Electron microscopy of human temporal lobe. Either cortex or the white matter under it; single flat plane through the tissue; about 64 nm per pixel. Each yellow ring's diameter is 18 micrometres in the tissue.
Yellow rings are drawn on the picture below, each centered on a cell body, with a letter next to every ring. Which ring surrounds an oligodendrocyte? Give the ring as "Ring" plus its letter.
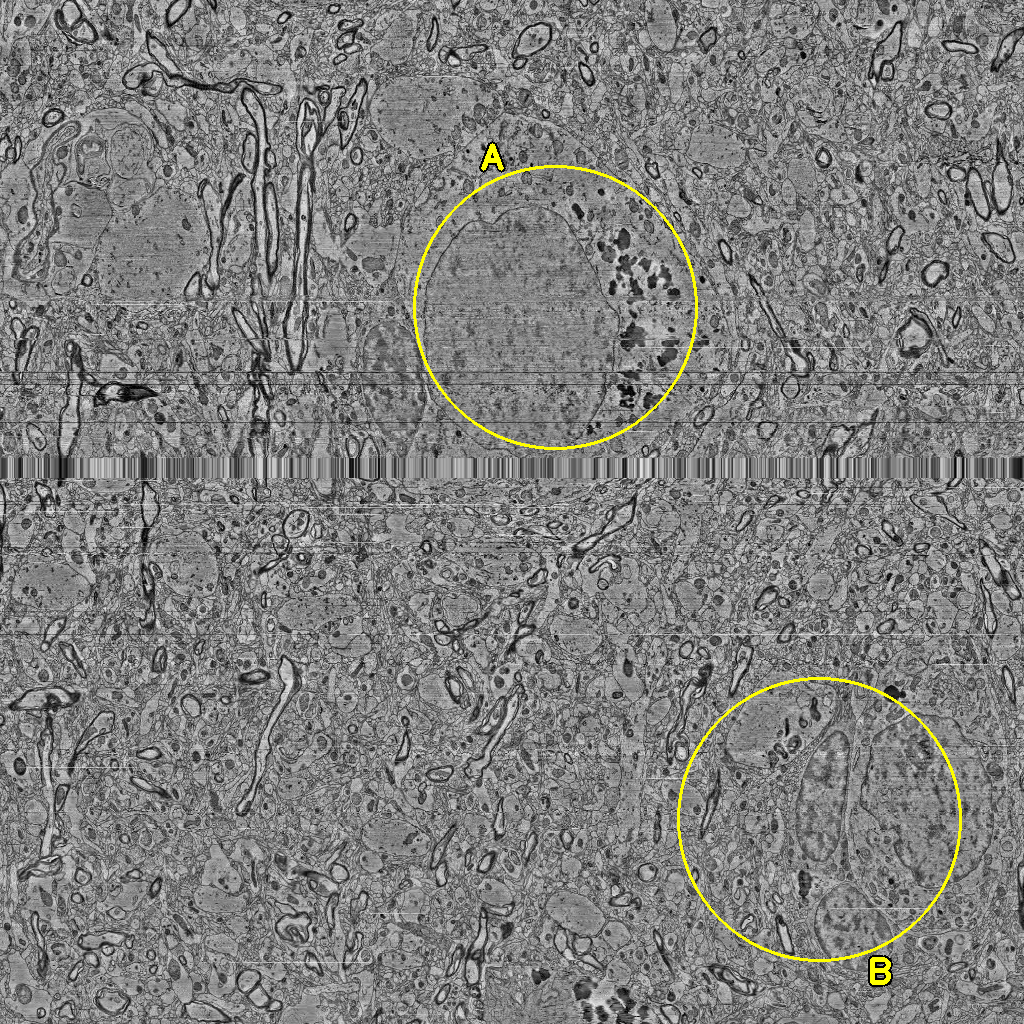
Ring B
